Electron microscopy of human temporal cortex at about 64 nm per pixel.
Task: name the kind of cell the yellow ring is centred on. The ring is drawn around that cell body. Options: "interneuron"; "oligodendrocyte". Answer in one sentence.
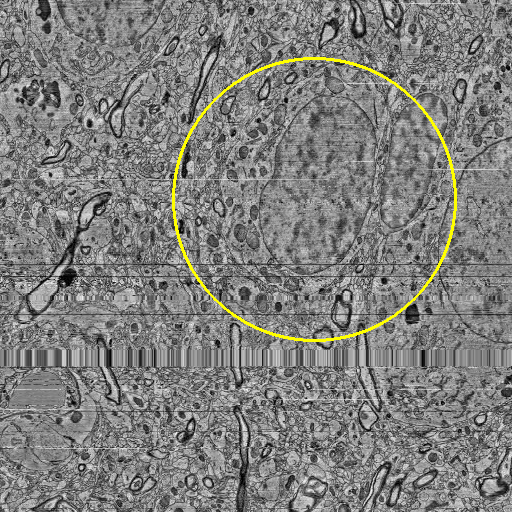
This cell body belongs to an interneuron.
